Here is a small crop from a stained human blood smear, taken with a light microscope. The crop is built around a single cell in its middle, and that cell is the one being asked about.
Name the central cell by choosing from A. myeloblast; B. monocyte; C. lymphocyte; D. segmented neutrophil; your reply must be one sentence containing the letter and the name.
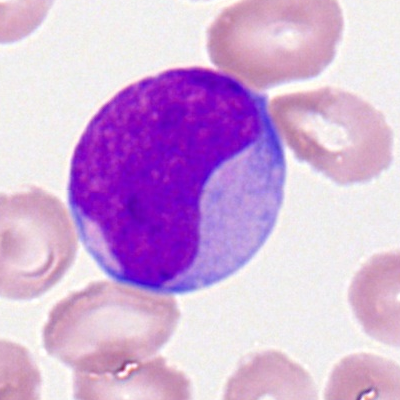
The cell at the centre is a myeloblast, and option A accordingly is correct.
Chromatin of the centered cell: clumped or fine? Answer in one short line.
Its chromatin is finely dispersed rather than coarsely clumped.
